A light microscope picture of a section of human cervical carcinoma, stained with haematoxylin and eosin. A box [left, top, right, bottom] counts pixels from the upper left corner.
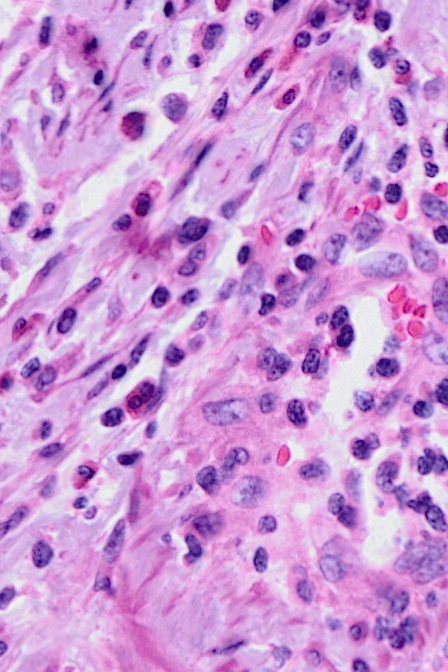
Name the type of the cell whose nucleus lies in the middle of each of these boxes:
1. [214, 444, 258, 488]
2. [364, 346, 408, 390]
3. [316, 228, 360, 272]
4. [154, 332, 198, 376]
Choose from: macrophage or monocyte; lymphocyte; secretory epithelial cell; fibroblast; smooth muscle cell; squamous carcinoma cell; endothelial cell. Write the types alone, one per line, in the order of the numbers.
endothelial cell
lymphocyte
endothelial cell
lymphocyte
